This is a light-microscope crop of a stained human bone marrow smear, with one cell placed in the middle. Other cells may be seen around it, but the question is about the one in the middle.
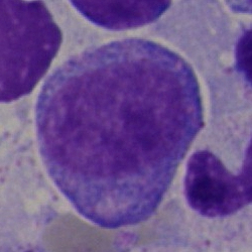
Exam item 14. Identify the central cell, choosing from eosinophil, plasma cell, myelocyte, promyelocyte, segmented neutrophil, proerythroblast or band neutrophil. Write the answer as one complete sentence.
In the middle of this smear crop, the cell is a promyelocyte.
